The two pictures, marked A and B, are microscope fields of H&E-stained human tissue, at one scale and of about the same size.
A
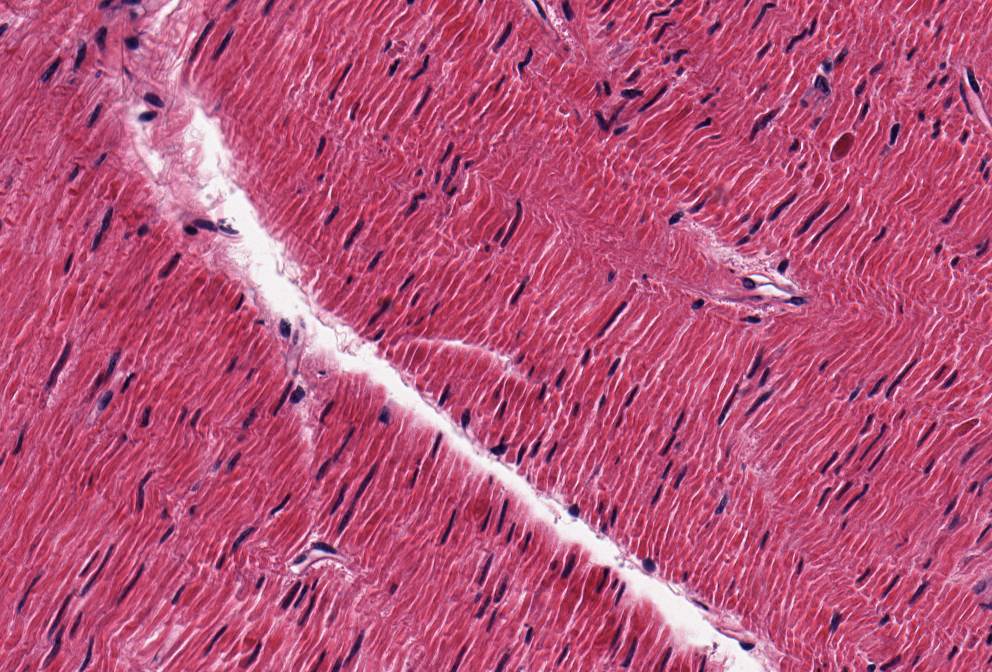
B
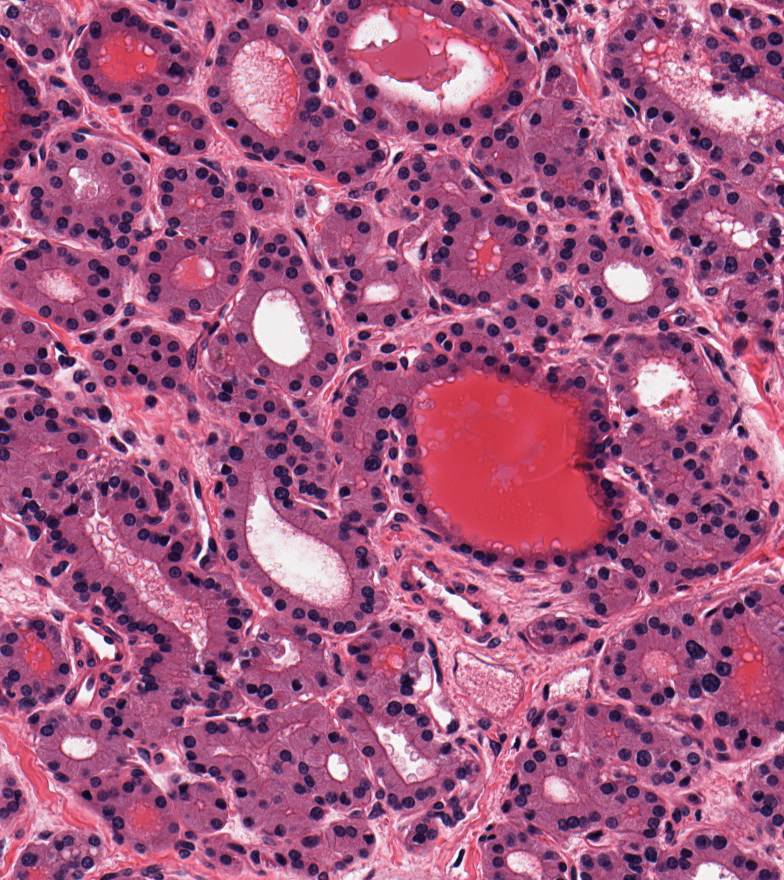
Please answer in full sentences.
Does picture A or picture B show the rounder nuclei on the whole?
It is picture B whose nuclei are the rounder.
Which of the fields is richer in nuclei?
The larger number of nuclei is in picture B.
